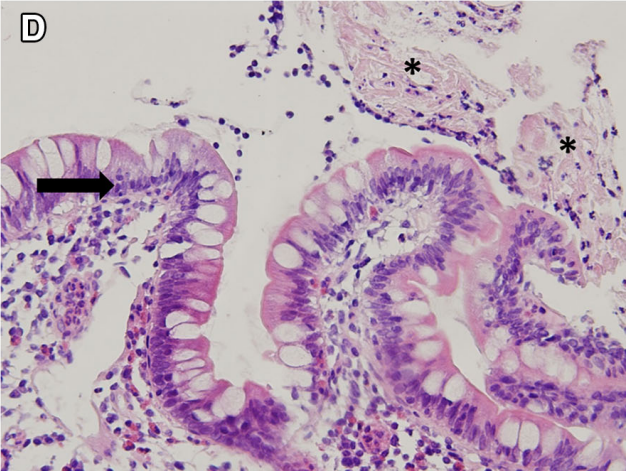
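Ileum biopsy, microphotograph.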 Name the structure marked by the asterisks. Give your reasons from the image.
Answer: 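Pale pink, stringy material floats above the epithelial surface. A few scattered cells are caught within the pink material.
Answer: fibrin deposits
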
